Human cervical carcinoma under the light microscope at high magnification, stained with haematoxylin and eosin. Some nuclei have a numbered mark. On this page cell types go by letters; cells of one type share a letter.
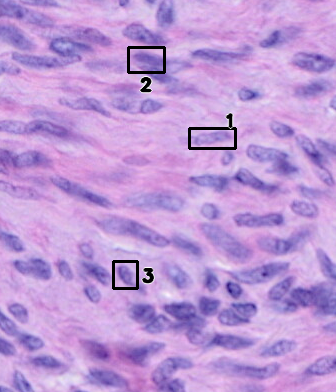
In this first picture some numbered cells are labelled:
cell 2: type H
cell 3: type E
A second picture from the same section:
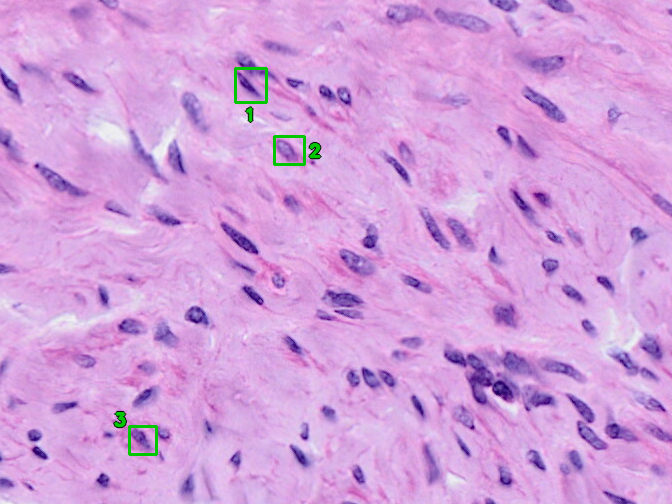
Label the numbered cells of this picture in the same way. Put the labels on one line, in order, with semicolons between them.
type E; type H; type H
